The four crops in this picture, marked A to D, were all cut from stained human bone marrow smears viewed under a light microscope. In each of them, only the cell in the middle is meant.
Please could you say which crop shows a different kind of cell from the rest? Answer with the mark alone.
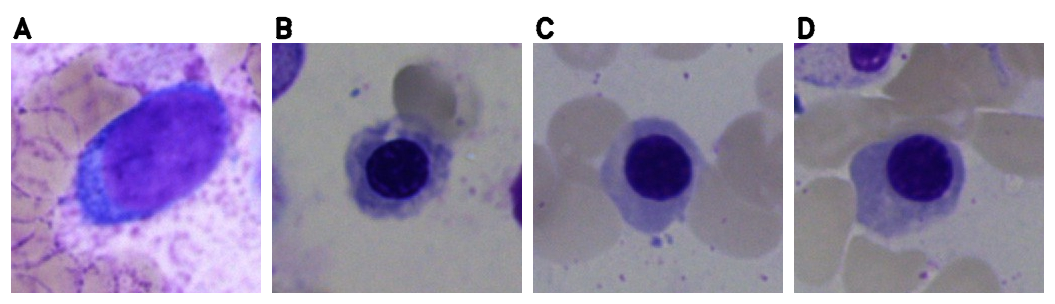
A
